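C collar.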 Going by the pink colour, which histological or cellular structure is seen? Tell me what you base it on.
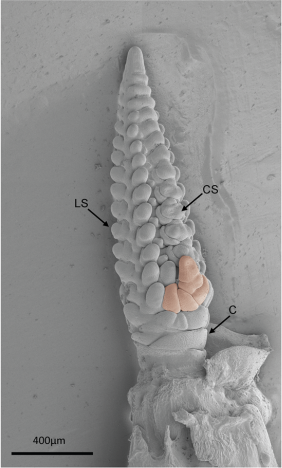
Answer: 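A pink-coloured cluster of rounded lobes projects from the lower flank of the spike. The cluster breaks the regular rows of primordia. That points to this answer: outgrowing branch structure.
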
